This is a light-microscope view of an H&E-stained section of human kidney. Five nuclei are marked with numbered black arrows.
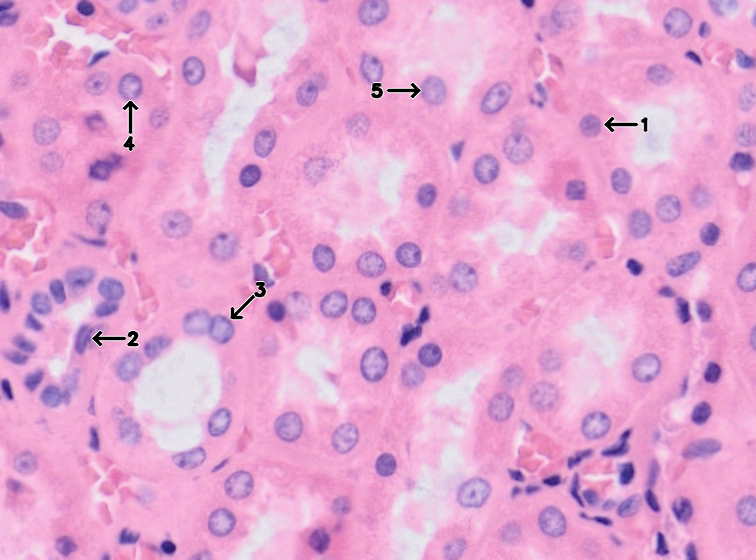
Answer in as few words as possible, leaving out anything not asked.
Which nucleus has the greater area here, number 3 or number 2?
3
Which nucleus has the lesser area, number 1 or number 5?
1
